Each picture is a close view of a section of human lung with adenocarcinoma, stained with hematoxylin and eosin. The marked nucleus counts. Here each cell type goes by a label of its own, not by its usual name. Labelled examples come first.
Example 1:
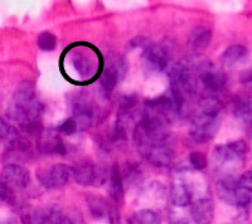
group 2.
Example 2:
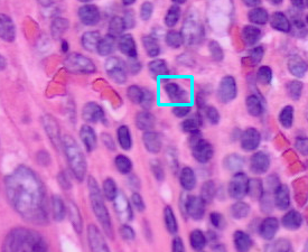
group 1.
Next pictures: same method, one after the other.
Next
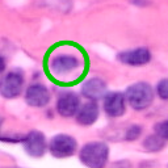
group 1.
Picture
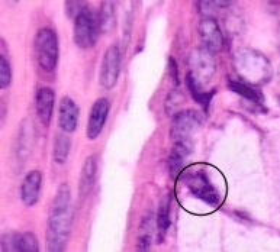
group 2.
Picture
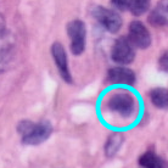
group 1.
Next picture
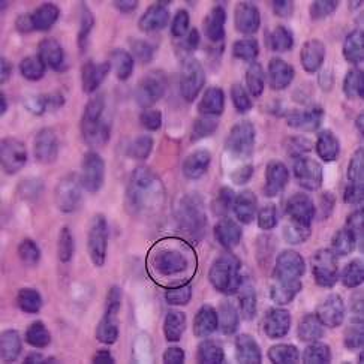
group 1.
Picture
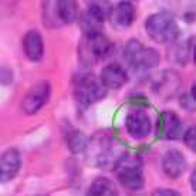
group 1.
